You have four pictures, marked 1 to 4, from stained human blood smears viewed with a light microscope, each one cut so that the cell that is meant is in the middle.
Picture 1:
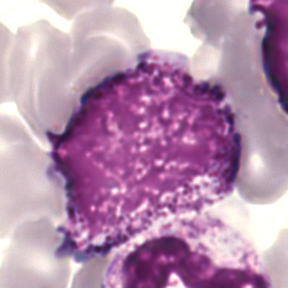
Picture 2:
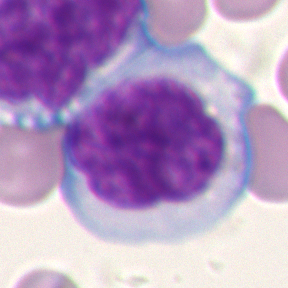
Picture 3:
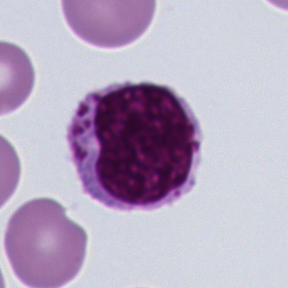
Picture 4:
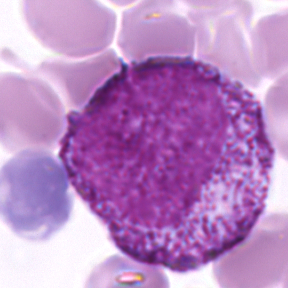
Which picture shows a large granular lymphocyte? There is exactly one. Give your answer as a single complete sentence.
The picture with the large granular lymphocyte is 3.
